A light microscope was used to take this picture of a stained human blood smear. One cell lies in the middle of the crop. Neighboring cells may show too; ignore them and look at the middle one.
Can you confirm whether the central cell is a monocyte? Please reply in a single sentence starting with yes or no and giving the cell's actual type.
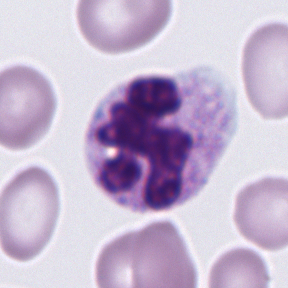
No, the cell in the middle is categorised as a neutrophil, not a monocyte.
